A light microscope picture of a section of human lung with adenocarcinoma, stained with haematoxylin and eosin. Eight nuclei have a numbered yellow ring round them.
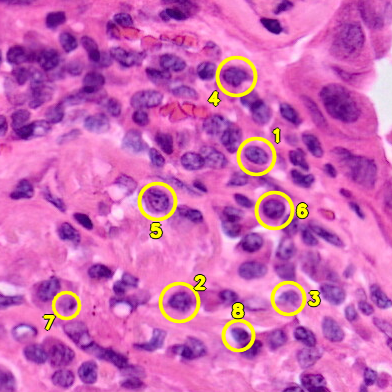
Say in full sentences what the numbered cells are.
Cell 1 is a mast cell. Cells 2, 4, 5, 6 and 7 are plasma cells. Cells 3 and 8 are lymphocytes.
